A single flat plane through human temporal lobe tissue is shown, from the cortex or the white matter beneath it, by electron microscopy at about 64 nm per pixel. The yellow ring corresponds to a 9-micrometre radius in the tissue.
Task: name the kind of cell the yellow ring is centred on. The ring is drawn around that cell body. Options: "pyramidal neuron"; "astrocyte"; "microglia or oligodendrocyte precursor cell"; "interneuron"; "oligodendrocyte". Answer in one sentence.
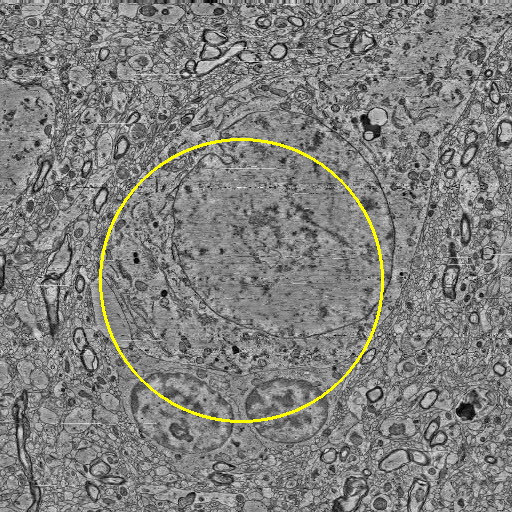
This cell body belongs to a pyramidal neuron.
